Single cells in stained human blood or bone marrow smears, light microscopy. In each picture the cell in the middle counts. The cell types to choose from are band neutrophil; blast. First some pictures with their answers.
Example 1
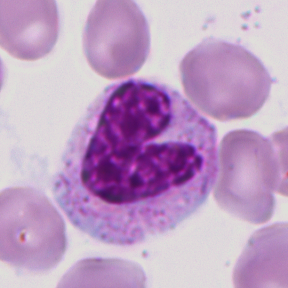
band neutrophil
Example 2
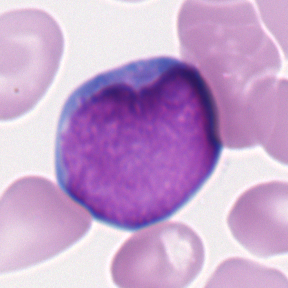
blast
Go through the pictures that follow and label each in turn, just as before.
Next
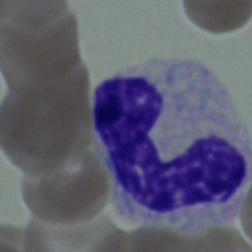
band neutrophil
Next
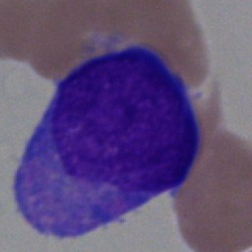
blast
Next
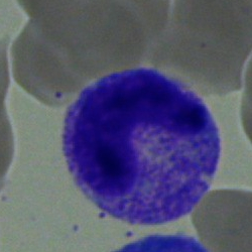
band neutrophil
